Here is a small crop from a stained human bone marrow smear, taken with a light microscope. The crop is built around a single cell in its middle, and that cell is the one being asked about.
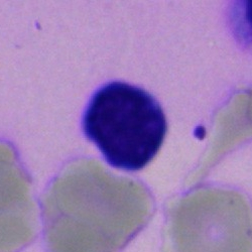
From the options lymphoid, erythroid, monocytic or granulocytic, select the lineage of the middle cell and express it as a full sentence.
The cell at the middle of the crop is designated as lymphoid in lineage.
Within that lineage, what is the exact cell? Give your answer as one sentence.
Seen at the centre of the crop is a lymphocyte.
